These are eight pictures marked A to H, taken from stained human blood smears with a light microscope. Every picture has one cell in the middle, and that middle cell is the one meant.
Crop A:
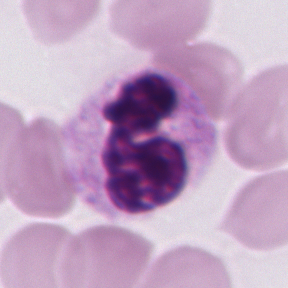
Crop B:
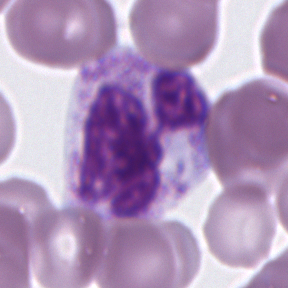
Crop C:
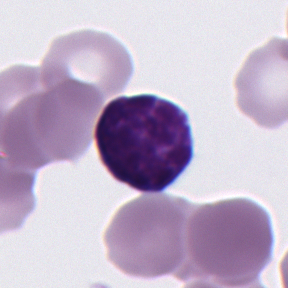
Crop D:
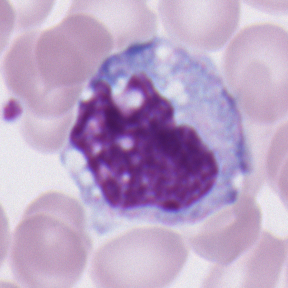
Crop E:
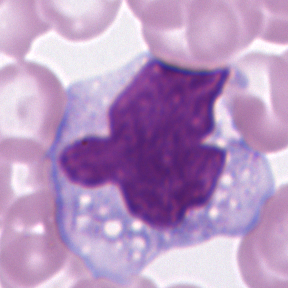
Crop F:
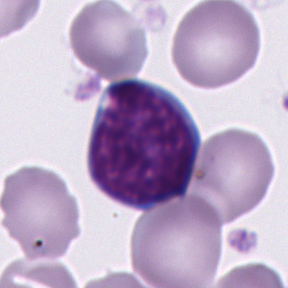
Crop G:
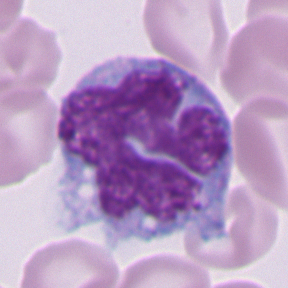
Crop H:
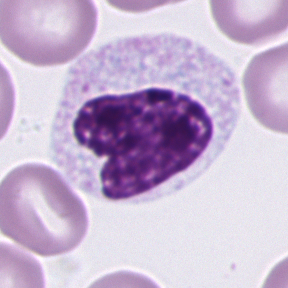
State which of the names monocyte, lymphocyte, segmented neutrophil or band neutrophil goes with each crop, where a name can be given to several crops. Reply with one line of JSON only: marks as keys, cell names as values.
{"A": "segmented neutrophil", "B": "segmented neutrophil", "C": "lymphocyte", "D": "monocyte", "E": "monocyte", "F": "lymphocyte", "G": "monocyte", "H": "band neutrophil"}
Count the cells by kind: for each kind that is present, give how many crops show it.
monocyte: 3
segmented neutrophil: 2
lymphocyte: 2
band neutrophil: 1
